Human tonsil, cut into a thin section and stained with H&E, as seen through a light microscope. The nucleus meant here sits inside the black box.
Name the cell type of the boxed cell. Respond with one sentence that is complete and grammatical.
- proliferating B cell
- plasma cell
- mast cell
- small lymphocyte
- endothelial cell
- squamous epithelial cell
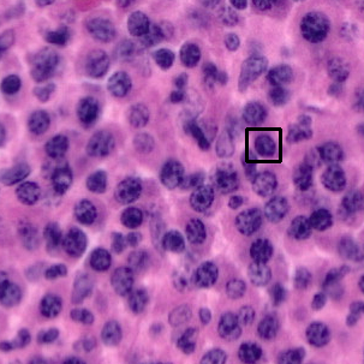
Microscopically, the boxed cell is categorized as a plasma cell.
